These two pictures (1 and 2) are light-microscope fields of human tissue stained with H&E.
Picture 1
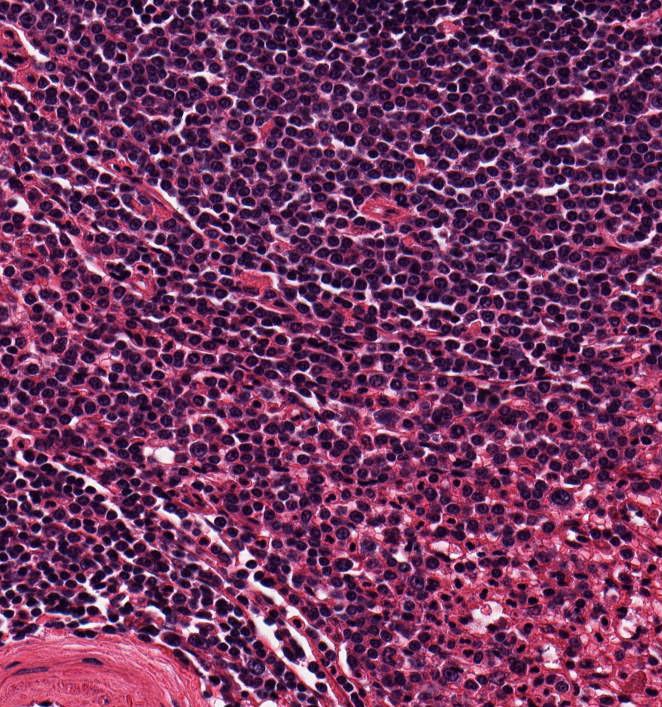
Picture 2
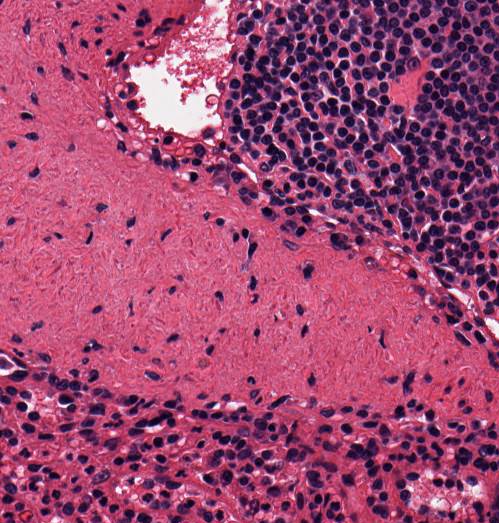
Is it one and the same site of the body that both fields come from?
yes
